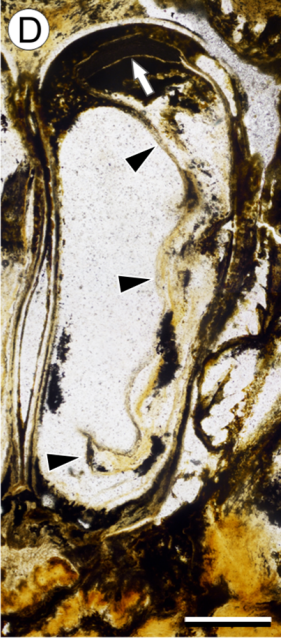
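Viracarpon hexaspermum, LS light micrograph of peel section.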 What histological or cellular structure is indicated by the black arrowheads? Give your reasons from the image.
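Seed coat. A thin pale layer is marked by the black arrowheads. The layer outlines an elongate seed lying inside a larger cavity.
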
